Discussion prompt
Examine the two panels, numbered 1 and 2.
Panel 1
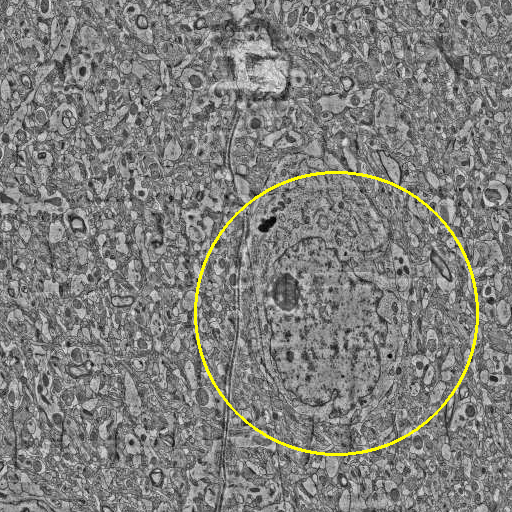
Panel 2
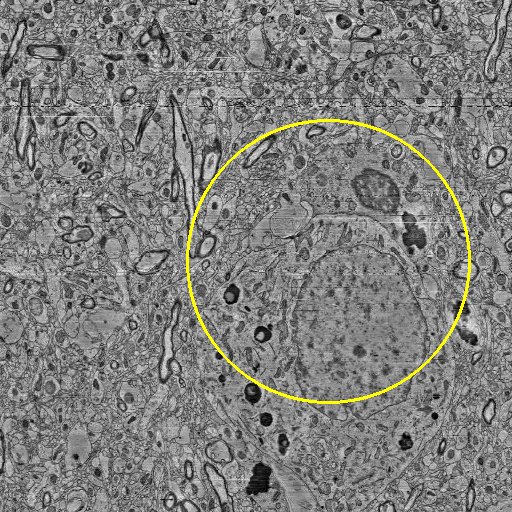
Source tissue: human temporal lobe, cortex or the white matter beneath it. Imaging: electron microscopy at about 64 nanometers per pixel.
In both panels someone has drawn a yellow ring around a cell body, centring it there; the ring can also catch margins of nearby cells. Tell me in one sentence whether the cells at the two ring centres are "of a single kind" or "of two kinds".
Taken together, the two cells centred in the rings of Panels 1 and 2 are of a single kind.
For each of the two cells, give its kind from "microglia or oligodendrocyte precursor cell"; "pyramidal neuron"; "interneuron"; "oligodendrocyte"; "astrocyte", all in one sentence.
Both cells are the same kind, each one being an interneuron.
